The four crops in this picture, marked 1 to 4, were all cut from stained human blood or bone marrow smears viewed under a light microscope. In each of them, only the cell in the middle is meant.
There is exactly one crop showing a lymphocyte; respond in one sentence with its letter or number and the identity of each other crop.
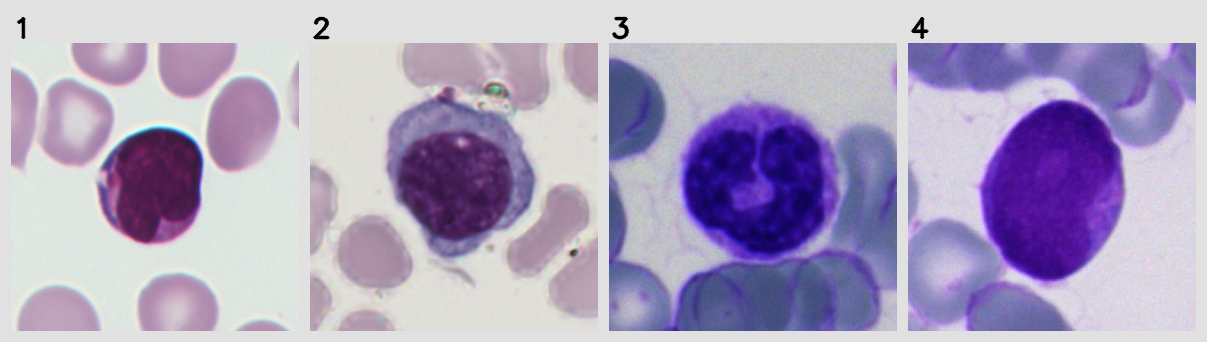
The cell of interest in crop 1 is a lymphocyte, and crop 2 is a plasma cell, crop 3 is a segmented neutrophil and crop 4 is a blast.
